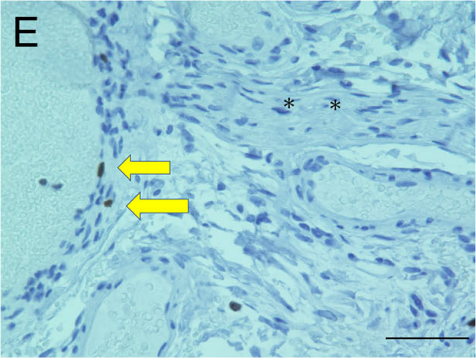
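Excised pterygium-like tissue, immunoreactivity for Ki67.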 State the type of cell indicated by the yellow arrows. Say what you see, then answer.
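Endothelial cells. The arrows point to brown nuclei in flat cells lining a vessel lumen.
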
